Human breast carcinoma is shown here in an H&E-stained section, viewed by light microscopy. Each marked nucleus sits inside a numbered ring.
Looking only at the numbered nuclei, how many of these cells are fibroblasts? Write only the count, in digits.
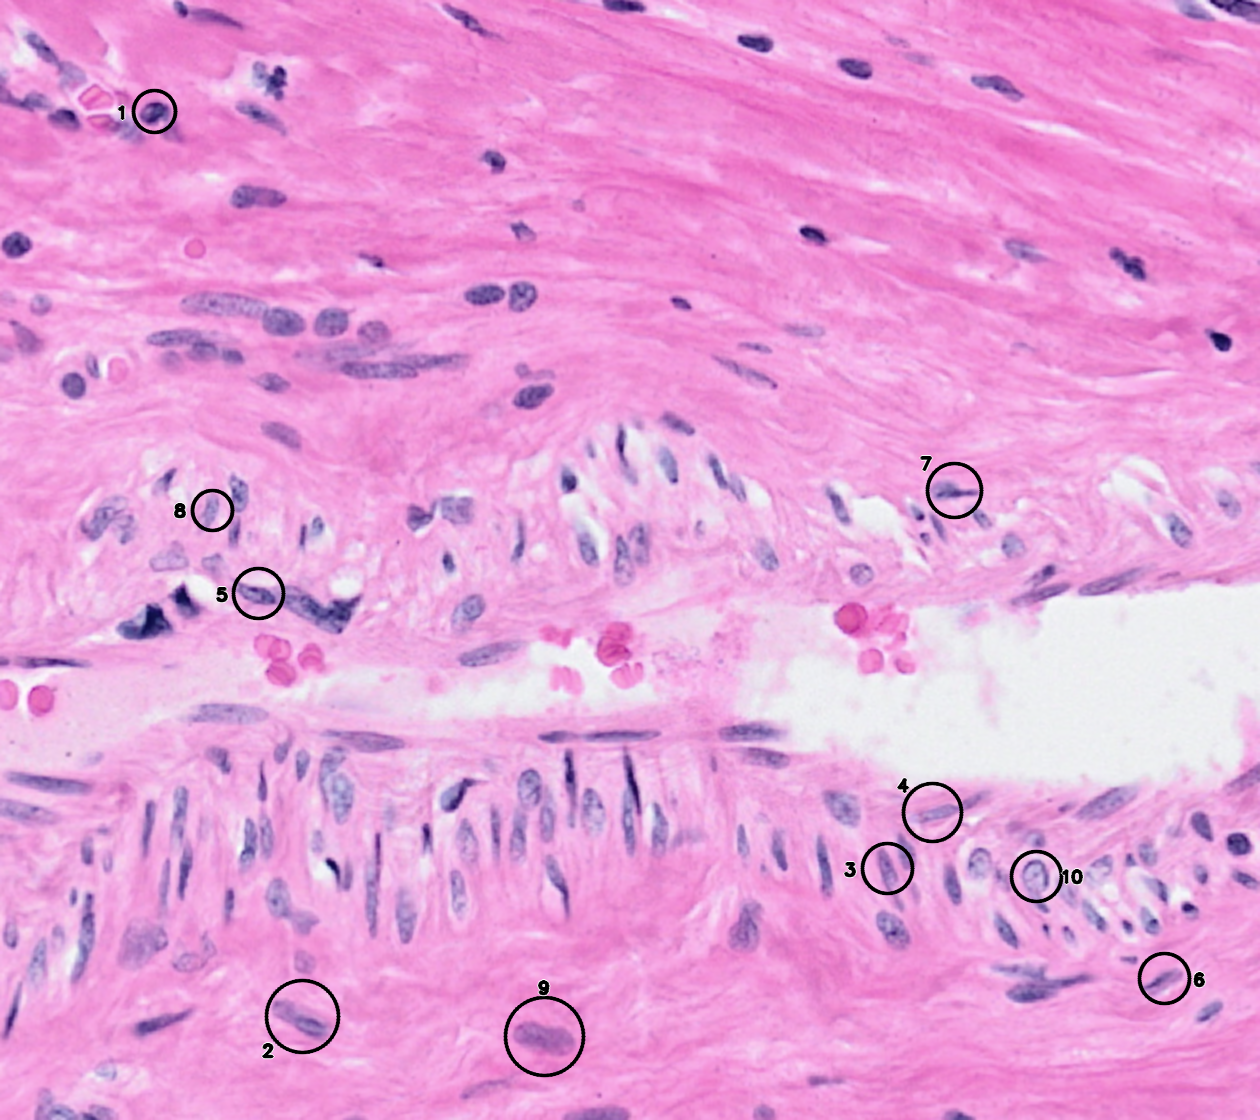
4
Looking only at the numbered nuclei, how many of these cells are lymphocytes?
1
